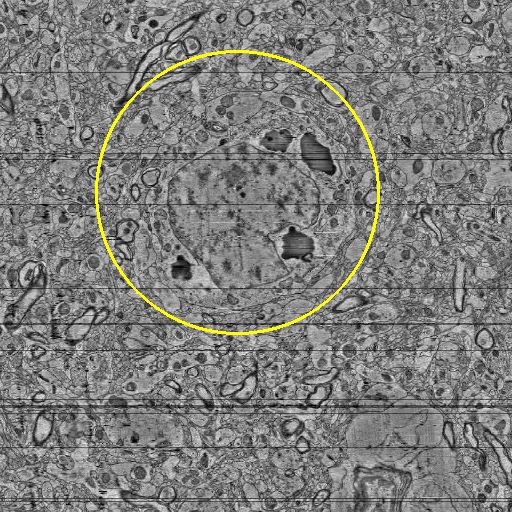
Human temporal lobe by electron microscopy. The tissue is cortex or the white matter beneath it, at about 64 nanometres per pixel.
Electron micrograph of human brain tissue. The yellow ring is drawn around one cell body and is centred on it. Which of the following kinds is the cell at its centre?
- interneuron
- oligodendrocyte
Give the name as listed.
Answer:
interneuron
